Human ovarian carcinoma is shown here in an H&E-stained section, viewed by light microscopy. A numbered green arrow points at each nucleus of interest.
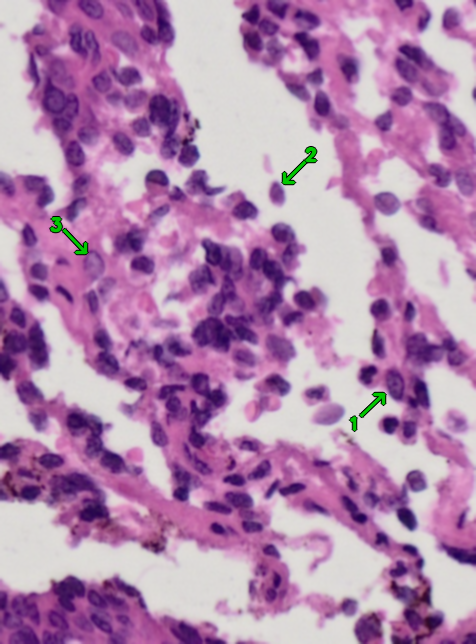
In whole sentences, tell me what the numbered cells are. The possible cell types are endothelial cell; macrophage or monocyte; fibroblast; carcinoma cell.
Cell 1 is a macrophage or monocyte, cell 2 is a carcinoma cell and cell 3 is an endothelial cell.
